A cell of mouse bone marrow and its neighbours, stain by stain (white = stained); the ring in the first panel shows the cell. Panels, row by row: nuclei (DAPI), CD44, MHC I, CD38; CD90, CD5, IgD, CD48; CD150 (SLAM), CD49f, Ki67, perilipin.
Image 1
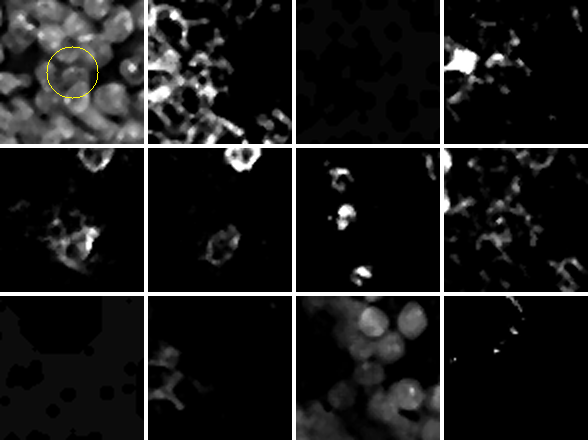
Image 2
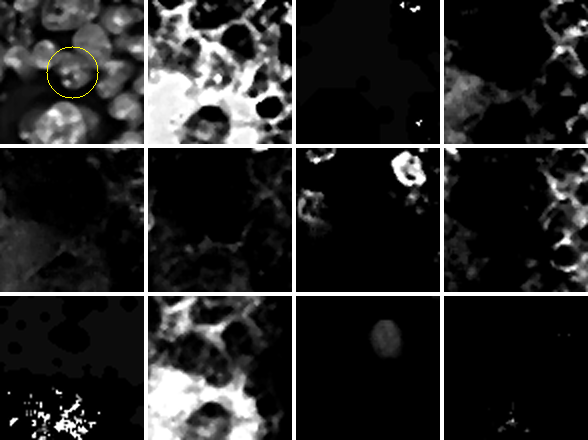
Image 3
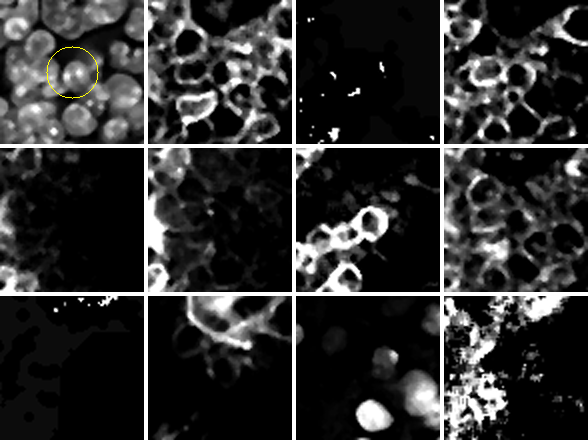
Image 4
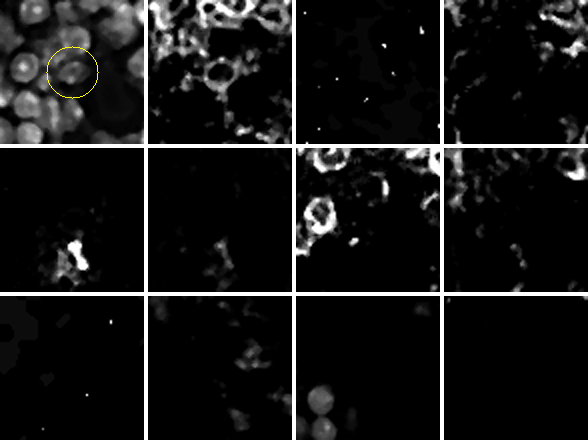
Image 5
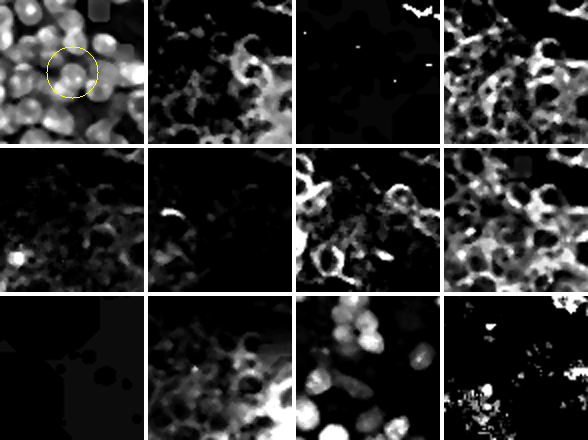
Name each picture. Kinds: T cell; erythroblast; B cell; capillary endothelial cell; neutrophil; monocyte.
1: erythroblast
2: neutrophil
3: B cell
4: neutrophil
5: capillary endothelial cell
